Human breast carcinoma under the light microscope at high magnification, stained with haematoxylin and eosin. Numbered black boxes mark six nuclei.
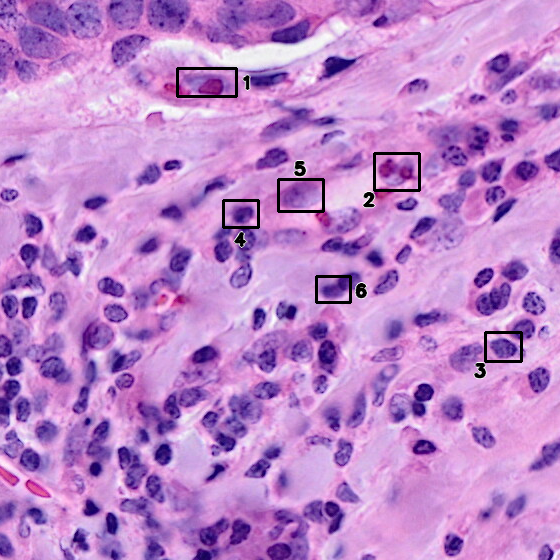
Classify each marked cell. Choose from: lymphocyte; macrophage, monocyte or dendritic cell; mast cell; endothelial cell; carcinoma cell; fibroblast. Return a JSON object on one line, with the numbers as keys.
{"1": "endothelial cell", "2": "endothelial cell", "3": "lymphocyte", "4": "lymphocyte", "5": "endothelial cell", "6": "lymphocyte"}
